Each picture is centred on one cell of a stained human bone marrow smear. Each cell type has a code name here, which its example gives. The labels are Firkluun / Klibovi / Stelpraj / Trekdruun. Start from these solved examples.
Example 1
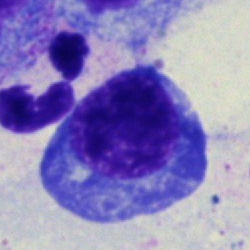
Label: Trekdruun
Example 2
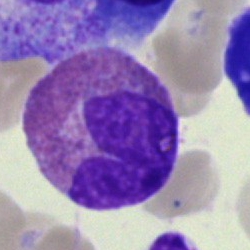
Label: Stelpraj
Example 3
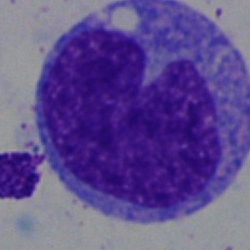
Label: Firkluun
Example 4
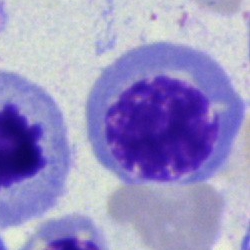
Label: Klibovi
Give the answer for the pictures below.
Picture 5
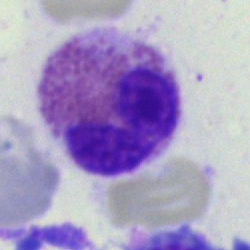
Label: Stelpraj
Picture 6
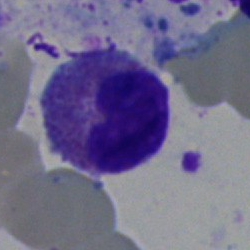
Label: Stelpraj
